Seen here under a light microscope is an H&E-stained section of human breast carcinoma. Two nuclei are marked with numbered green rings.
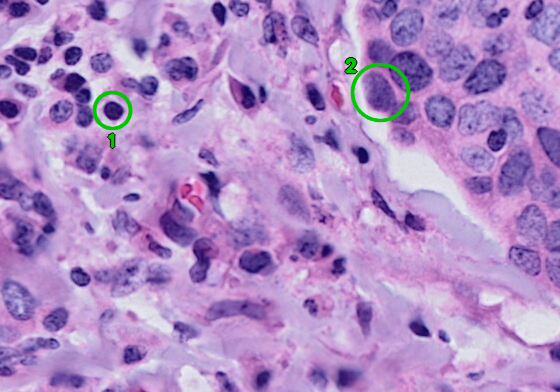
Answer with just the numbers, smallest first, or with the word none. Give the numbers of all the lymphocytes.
1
